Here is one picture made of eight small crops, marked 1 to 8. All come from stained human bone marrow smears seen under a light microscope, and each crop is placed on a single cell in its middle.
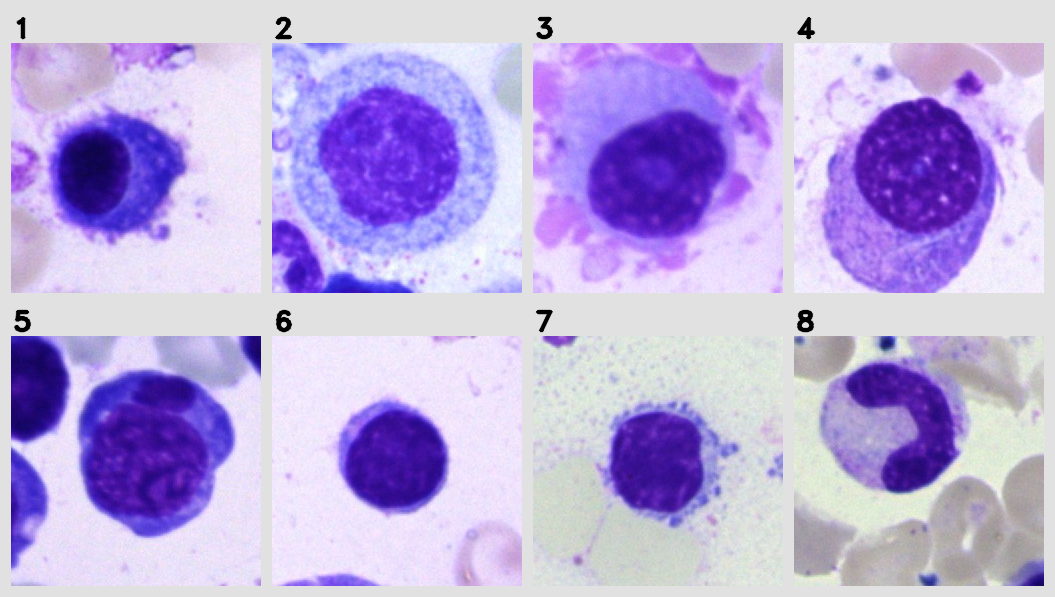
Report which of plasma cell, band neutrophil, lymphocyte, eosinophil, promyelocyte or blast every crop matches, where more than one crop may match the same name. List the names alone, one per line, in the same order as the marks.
plasma cell
promyelocyte
plasma cell
plasma cell
blast
lymphocyte
lymphocyte
band neutrophil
